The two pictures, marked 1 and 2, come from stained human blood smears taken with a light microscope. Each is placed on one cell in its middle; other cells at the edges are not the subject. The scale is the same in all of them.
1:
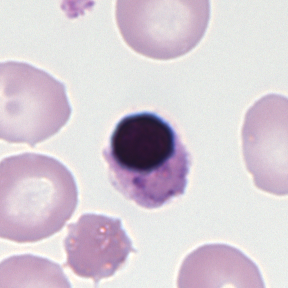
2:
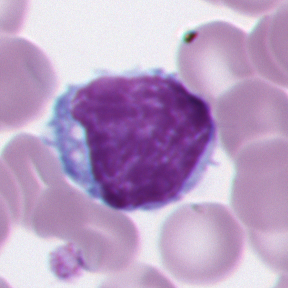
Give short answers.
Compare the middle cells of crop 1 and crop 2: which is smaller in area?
1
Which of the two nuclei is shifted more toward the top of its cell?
1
